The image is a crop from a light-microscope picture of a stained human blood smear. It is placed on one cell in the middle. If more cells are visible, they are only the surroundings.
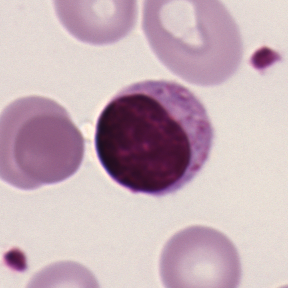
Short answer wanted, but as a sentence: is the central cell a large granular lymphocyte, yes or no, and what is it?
Yes, the cell at the crop's center is a large granular lymphocyte.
